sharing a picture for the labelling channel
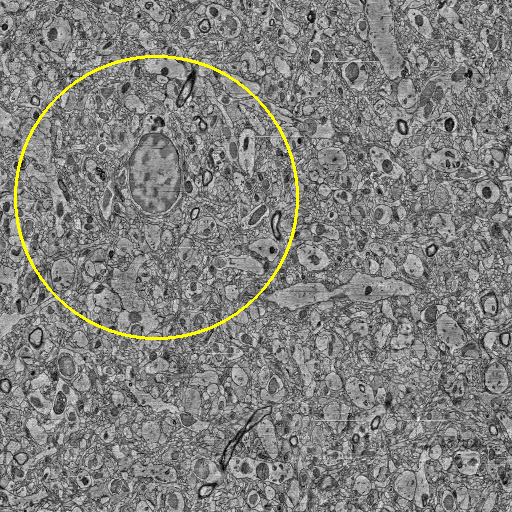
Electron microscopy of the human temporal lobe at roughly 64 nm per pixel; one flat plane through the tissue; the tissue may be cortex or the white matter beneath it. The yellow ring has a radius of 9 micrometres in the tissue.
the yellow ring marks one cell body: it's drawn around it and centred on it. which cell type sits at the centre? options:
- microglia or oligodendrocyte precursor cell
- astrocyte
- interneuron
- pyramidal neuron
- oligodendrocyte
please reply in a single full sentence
In the picture, the cell at the ring's centre is a microglial cell or oligodendrocyte precursor cell, going by the list.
